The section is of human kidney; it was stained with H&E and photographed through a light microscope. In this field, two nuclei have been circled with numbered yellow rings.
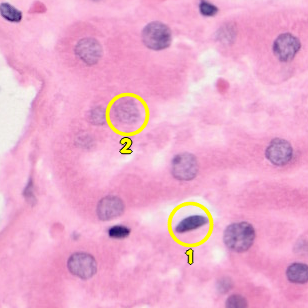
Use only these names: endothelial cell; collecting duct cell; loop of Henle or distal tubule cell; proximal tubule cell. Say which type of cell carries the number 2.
proximal tubule cell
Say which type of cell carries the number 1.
endothelial cell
